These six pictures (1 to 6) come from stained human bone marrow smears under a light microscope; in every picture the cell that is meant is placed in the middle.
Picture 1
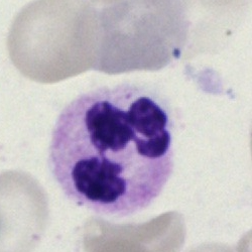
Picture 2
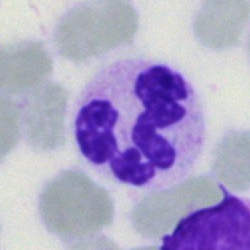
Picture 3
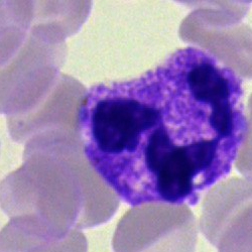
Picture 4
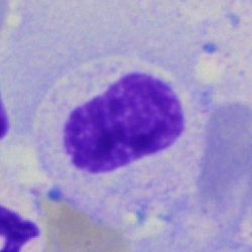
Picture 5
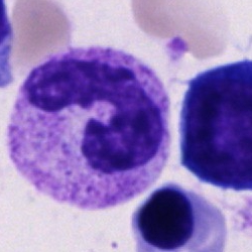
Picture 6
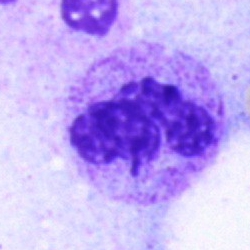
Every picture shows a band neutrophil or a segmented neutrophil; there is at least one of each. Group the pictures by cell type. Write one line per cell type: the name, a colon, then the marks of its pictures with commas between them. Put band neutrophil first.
band neutrophil: 4, 5
segmented neutrophil: 1, 2, 3, 6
